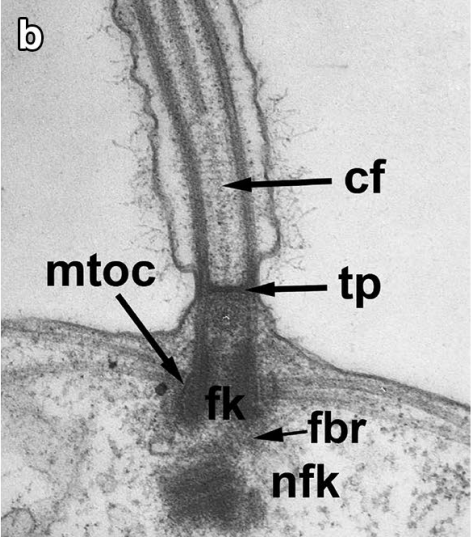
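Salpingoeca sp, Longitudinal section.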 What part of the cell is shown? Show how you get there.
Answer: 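A flagellum with an axial core rises from the cell surface. Two dense cylindrical bodies lie at the flagellum's base inside the cell.
Hence: flagellar apparatus.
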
